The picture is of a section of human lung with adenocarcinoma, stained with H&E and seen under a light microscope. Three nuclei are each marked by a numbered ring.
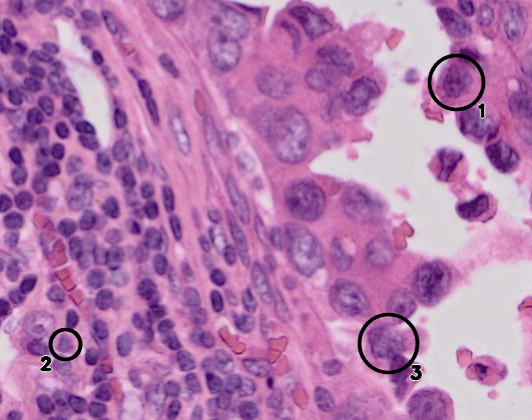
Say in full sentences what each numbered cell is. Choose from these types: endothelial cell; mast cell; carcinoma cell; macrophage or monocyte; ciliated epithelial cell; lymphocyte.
Cells 1 and 3 are carcinoma cells. Cell 2 is a lymphocyte.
